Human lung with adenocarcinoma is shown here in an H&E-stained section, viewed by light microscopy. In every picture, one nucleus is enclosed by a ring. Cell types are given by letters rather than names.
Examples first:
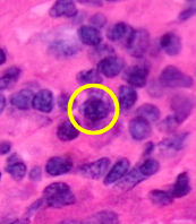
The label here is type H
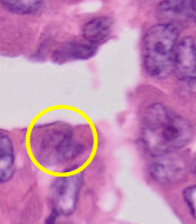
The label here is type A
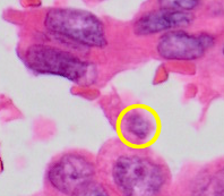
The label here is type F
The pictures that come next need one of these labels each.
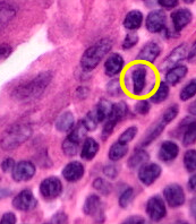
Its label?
type H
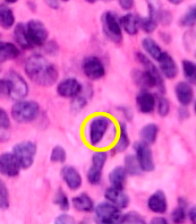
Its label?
type H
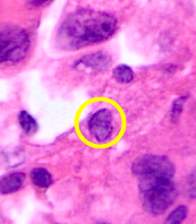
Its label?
type F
